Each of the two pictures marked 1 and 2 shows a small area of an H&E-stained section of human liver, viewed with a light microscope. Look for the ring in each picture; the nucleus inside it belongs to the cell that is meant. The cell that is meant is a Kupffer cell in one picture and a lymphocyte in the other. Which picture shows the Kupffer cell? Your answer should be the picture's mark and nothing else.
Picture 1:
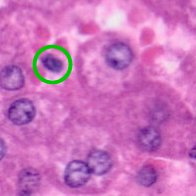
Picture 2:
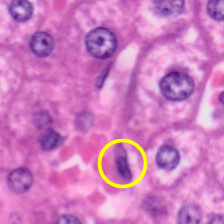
2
